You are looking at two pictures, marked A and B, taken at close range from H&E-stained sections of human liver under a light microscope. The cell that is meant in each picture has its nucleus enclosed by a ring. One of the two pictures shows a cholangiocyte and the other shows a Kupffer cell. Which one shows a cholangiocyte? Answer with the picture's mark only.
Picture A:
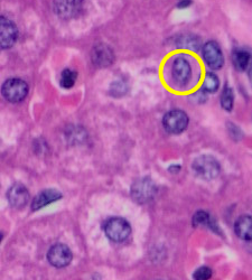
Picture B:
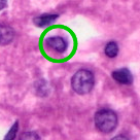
A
